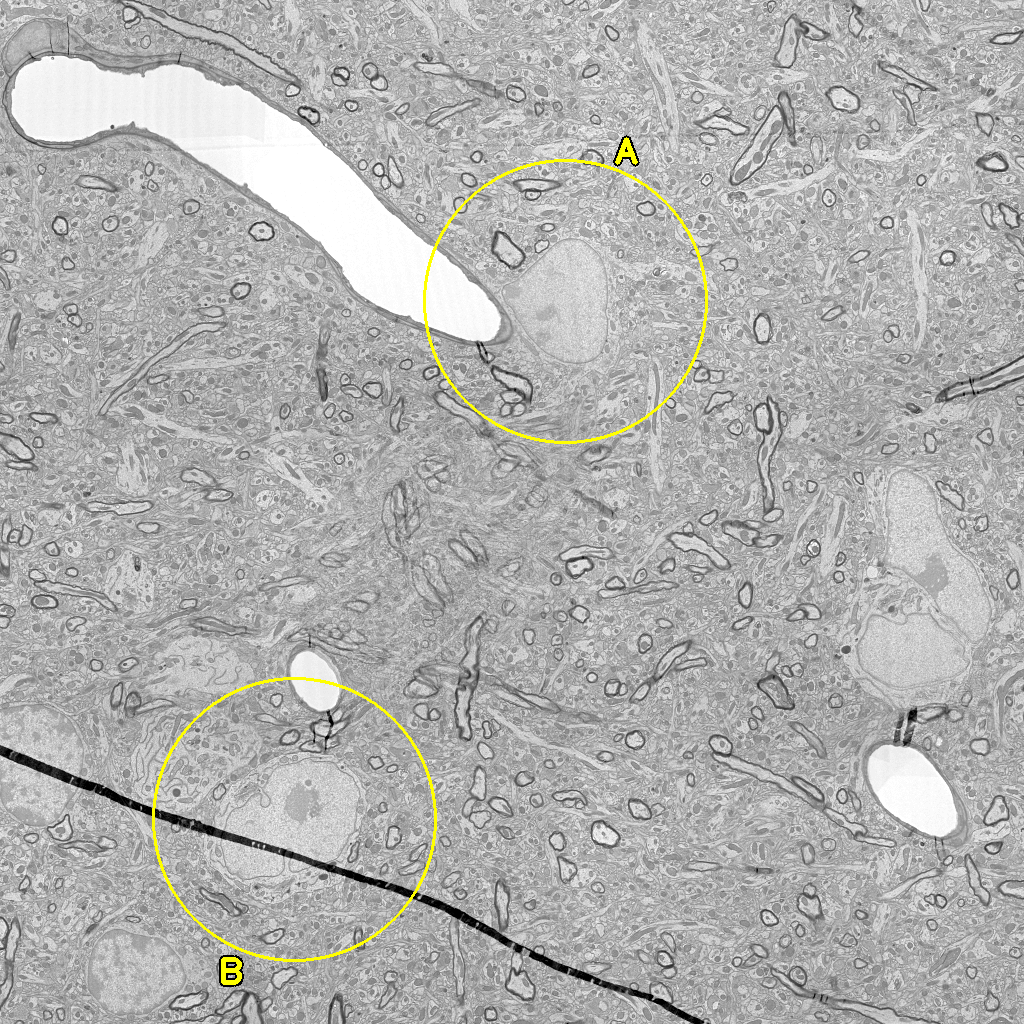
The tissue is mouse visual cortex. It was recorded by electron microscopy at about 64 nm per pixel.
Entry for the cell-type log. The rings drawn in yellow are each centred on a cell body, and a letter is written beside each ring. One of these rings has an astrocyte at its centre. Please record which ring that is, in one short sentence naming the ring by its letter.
Ring A is centred on it.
